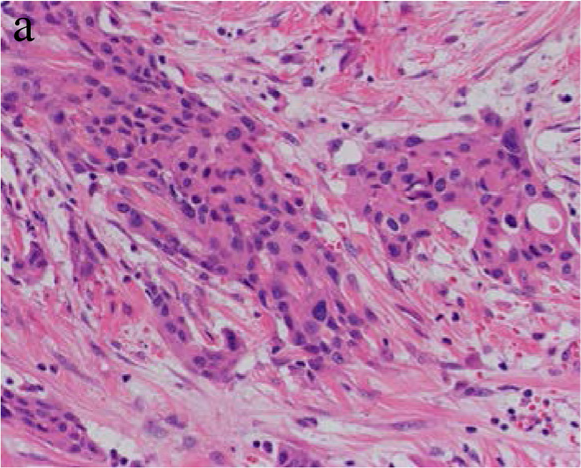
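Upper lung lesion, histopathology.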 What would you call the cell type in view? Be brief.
Spindle-shaped and squamoid epithelial cells.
